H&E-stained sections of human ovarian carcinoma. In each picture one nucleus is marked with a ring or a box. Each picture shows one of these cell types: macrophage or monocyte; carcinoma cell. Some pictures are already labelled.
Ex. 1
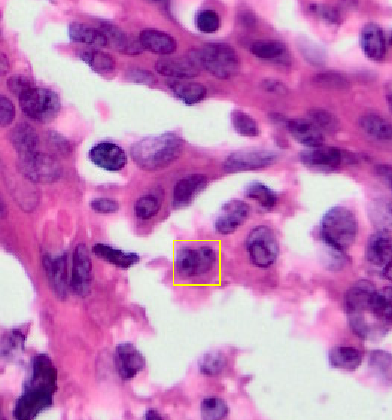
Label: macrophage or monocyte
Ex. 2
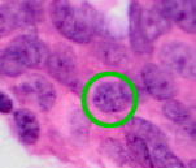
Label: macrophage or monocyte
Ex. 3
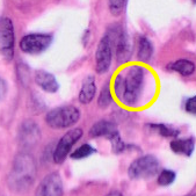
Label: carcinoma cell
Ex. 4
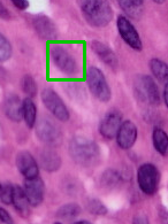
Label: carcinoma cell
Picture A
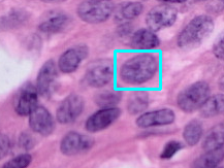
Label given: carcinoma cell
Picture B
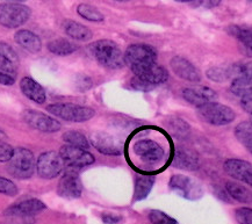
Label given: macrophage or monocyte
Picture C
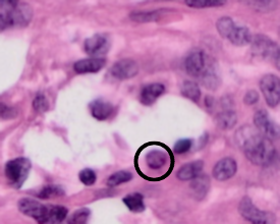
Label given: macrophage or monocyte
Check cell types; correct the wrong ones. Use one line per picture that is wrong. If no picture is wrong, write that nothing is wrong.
All correct.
